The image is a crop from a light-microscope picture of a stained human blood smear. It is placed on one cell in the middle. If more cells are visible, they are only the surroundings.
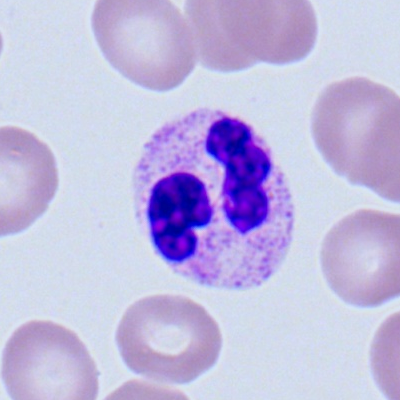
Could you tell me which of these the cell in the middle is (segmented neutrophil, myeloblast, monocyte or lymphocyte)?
segmented neutrophil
